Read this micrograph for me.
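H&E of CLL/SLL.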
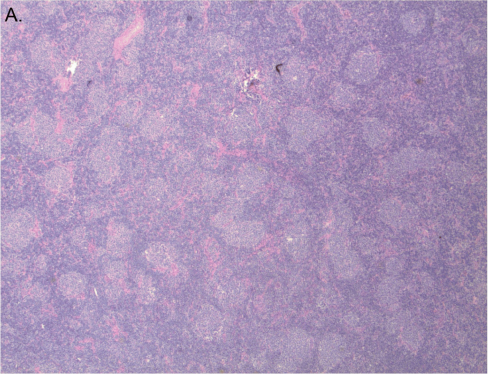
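Low-power view of lymphoid tissue effaced by a dense, monotonous sheet of small lymphocytes with dark blue nuclei. Numerous paler, rounded nodules are scattered evenly through the sheet, and thin pink vascular and stromal strands run between them.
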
